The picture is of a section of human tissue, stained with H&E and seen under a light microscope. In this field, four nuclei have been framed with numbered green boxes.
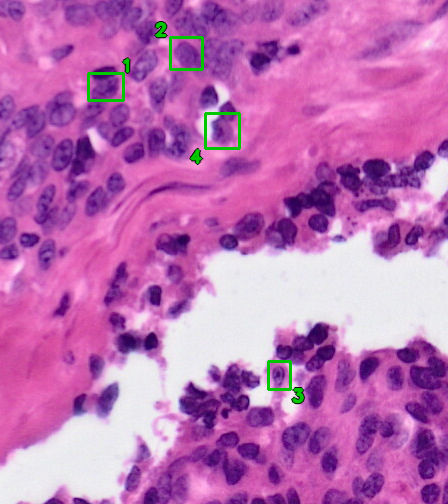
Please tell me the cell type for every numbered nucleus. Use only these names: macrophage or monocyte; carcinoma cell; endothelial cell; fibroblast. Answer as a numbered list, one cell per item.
1. carcinoma cell
2. carcinoma cell
3. macrophage or monocyte
4. carcinoma cell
